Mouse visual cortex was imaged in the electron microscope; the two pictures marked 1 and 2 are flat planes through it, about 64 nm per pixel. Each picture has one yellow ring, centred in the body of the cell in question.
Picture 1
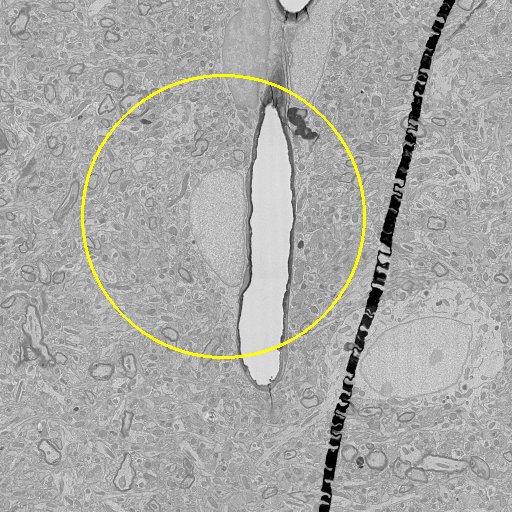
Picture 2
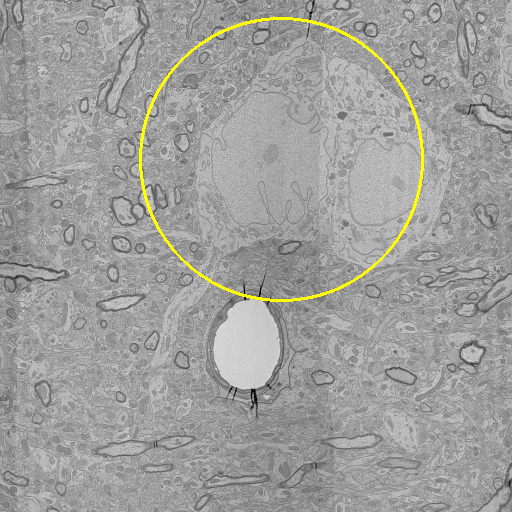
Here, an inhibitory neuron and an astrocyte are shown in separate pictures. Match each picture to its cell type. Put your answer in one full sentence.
Picture 1 is of an astrocyte, and picture 2 is of an inhibitory neuron.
